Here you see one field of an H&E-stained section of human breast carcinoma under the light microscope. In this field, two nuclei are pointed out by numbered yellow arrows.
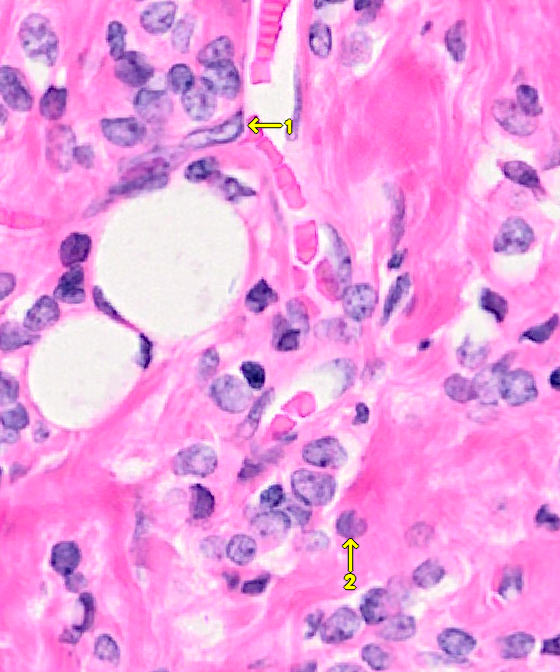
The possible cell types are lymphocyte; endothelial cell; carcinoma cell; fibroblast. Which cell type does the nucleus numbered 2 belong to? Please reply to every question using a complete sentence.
Cell 2 should be recorded as a carcinoma cell.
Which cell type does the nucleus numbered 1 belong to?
The cell that carries the label 1 is an endothelial cell.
